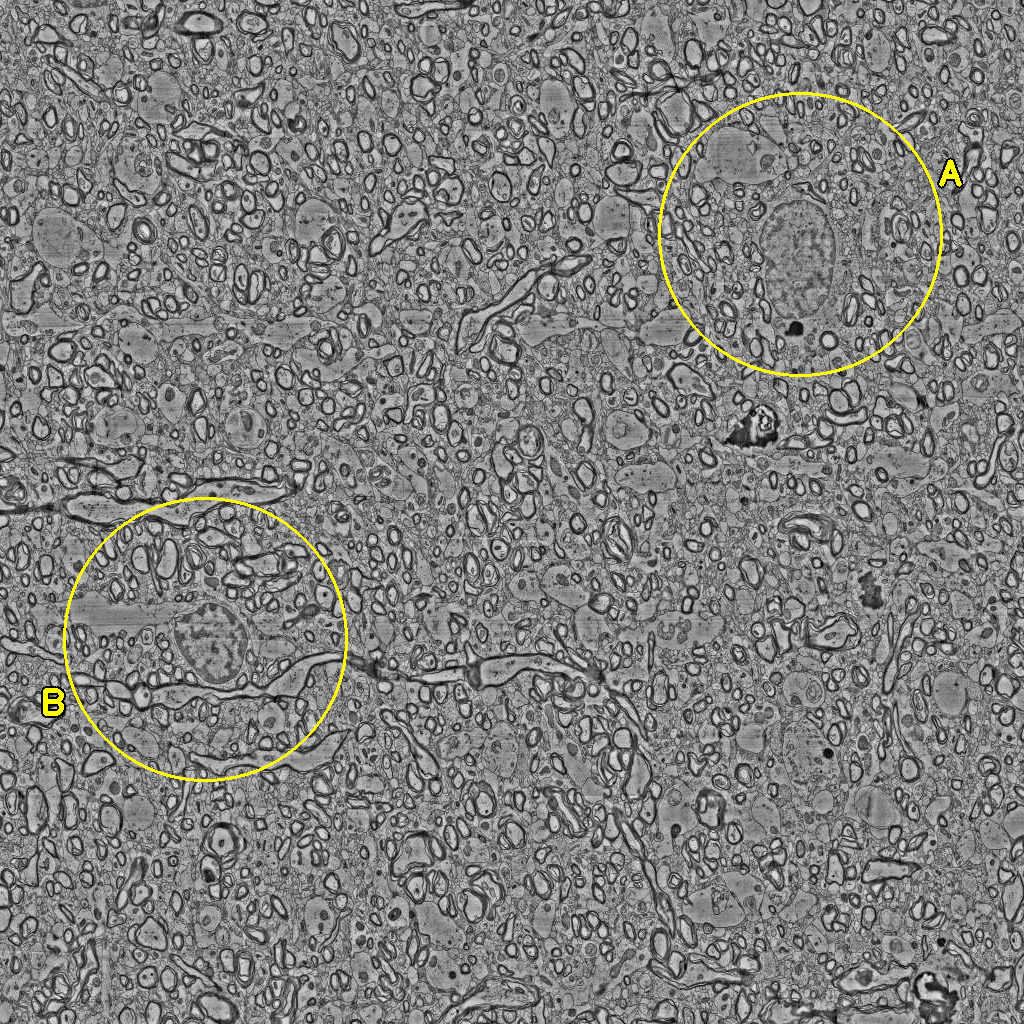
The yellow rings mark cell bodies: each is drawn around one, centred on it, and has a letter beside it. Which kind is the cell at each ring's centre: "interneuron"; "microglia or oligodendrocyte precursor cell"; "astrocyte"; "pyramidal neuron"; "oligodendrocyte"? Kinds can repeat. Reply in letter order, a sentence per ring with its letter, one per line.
At the centre of ring A lies an oligodendrocyte.
At the centre of ring B lies a microglial cell or oligodendrocyte precursor cell.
